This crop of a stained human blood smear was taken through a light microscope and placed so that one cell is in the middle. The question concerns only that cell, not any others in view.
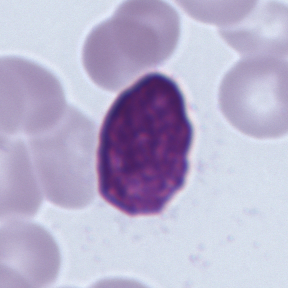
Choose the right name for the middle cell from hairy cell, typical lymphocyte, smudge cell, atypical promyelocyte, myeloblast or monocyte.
smudge cell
